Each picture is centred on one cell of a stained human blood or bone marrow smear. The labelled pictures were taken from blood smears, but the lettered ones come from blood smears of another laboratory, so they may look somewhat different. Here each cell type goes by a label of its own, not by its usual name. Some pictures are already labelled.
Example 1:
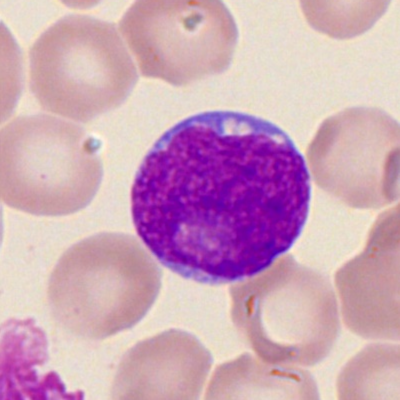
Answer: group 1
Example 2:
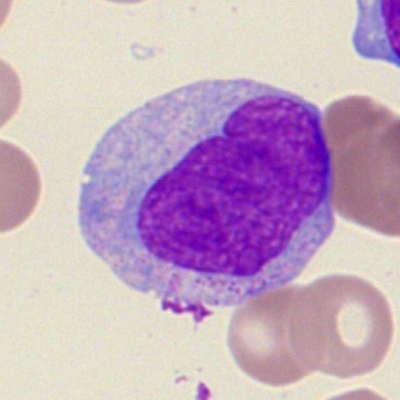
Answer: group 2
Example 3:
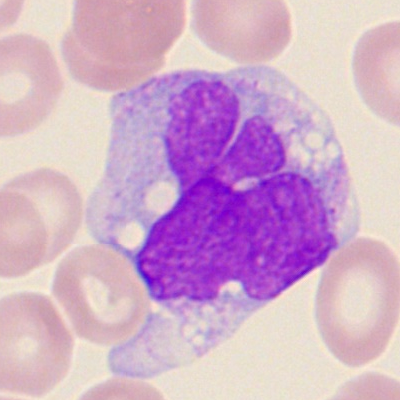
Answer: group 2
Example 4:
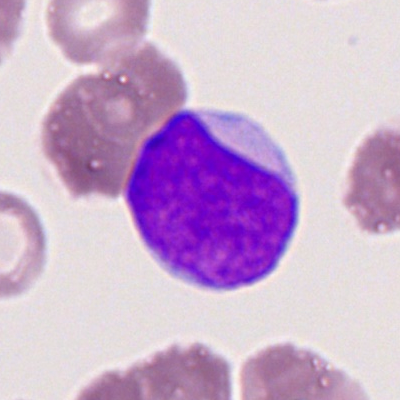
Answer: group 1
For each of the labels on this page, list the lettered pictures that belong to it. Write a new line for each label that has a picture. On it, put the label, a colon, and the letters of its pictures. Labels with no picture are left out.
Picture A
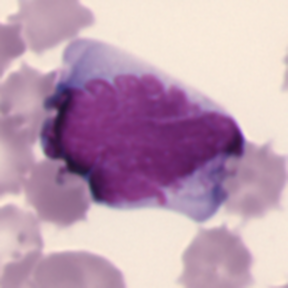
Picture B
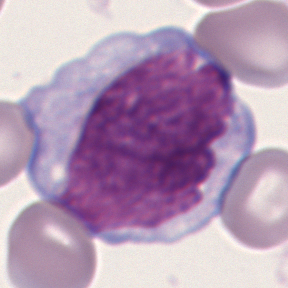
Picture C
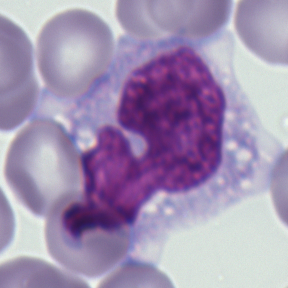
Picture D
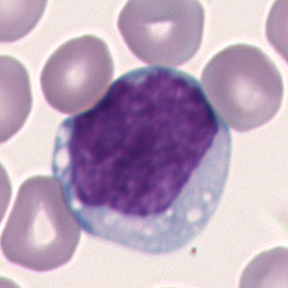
group 1: A, D
group 2: B, C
